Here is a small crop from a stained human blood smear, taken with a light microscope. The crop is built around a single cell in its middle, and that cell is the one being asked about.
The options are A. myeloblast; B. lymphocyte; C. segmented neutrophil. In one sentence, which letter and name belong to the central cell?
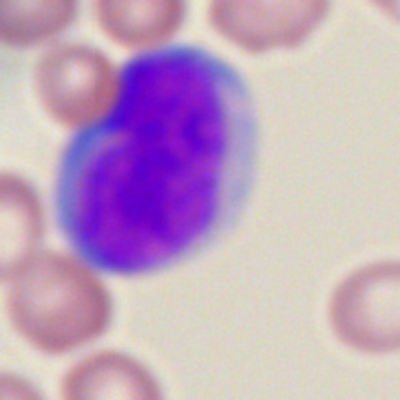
Well, the cell in the middle is a myeloblast, making option A right.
